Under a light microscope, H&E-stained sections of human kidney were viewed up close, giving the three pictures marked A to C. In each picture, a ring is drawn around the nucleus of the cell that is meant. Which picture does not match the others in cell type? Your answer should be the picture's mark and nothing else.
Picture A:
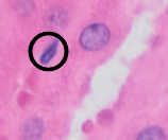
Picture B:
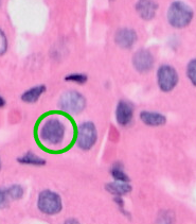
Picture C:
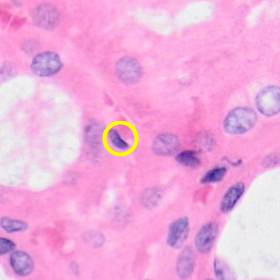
B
